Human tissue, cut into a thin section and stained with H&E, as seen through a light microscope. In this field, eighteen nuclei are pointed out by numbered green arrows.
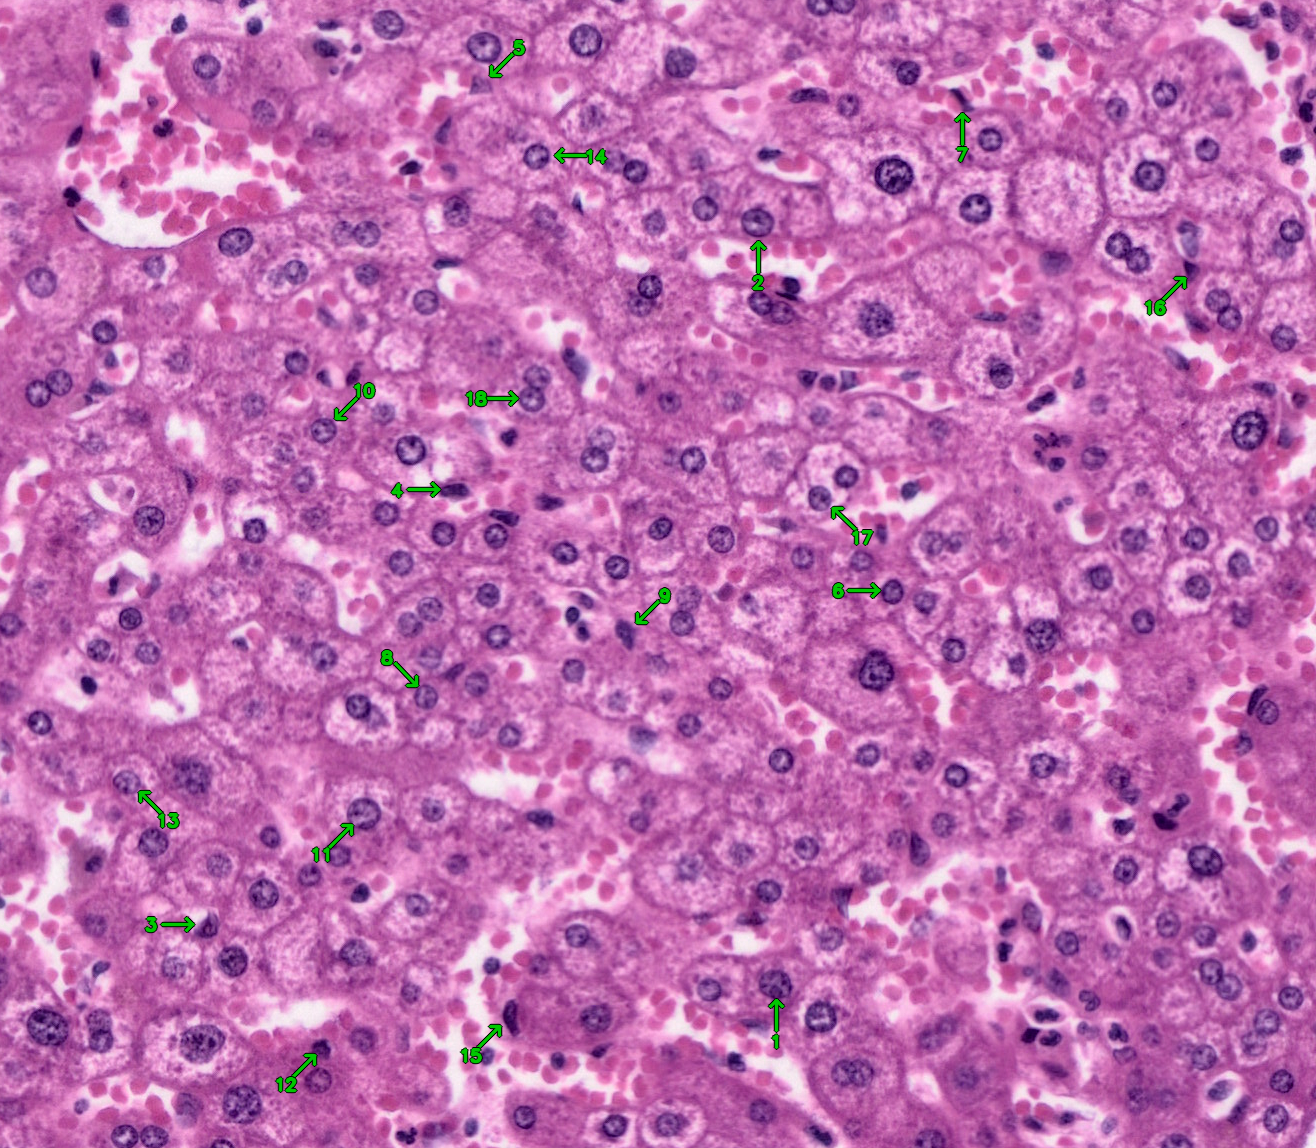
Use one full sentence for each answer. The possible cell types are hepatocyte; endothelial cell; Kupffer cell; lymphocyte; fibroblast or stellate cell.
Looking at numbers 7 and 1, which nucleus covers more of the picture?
The larger nucleus is 1, at roughly 4 times the area of 7.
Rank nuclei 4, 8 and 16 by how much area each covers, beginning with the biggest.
The nuclei rank 8, 4, 16, from largest to smallest.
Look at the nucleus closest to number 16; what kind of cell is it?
It is a Kupffer cell whose nucleus is nearest to number 16.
